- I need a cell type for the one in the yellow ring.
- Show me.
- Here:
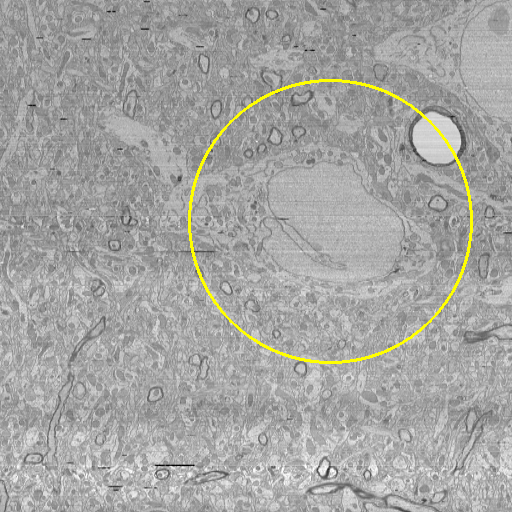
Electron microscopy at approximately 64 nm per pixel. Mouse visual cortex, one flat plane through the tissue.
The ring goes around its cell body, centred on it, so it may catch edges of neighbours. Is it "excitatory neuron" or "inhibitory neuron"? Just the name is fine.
inhibitory neuron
